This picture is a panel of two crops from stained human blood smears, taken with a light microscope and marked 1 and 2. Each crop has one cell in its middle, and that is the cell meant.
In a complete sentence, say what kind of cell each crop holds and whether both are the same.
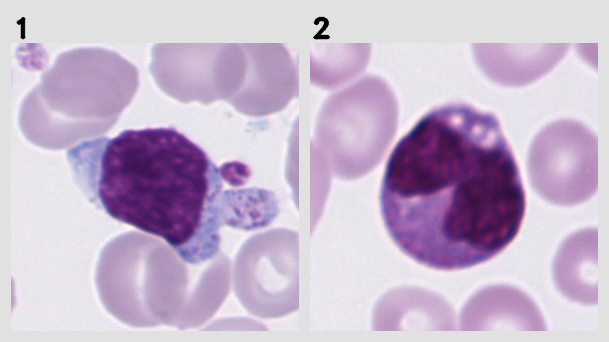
No, crop 1 shows a large granular lymphocyte, and crop 2, by contrast, shows a monocyte.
